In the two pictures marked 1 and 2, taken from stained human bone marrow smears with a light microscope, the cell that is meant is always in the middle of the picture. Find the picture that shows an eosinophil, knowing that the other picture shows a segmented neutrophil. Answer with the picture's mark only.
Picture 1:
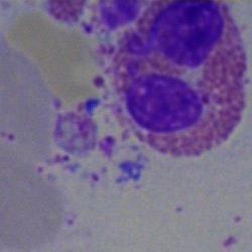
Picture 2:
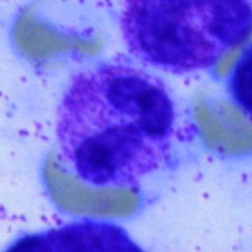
1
